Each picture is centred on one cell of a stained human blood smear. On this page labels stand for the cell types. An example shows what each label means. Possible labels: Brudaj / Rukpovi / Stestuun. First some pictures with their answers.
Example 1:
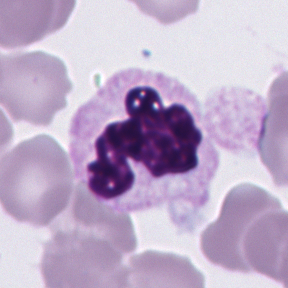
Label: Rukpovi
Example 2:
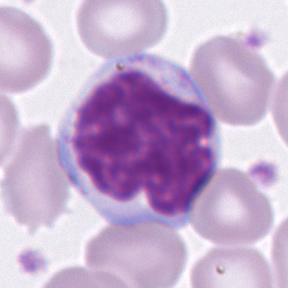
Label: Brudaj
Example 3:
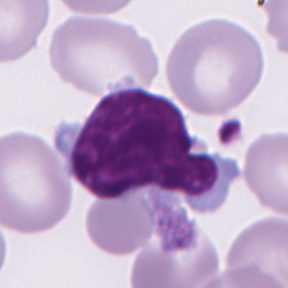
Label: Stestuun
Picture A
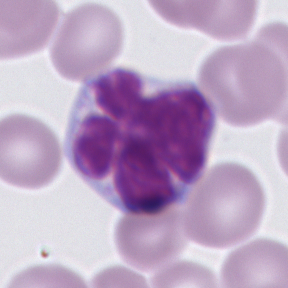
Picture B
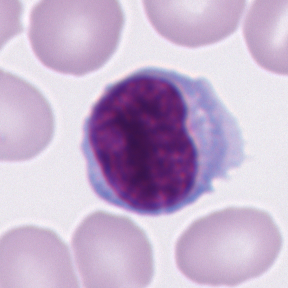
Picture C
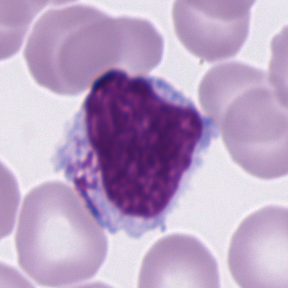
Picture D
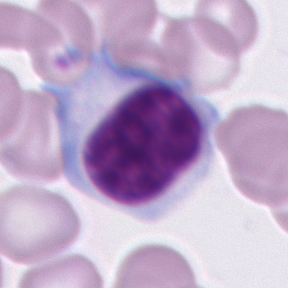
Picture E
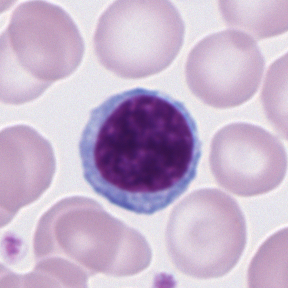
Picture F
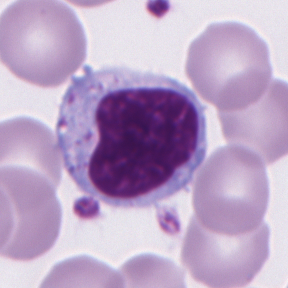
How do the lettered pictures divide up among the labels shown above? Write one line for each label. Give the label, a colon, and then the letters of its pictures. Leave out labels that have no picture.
Brudaj: A, C, F
Stestuun: B, D, E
